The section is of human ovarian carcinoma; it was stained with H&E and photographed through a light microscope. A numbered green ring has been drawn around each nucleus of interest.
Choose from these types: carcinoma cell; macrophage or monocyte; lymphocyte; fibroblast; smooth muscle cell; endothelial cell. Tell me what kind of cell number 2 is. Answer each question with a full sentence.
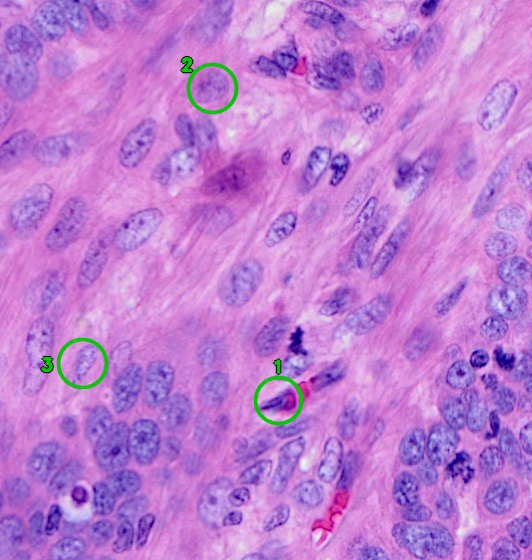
The cell indicated with the number 2 is classed as a fibroblast.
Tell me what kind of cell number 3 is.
Cell number 3 in this section is a fibroblast.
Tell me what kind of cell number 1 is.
Heads up, the cell numbered 1 is an endothelial cell.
